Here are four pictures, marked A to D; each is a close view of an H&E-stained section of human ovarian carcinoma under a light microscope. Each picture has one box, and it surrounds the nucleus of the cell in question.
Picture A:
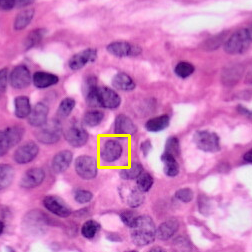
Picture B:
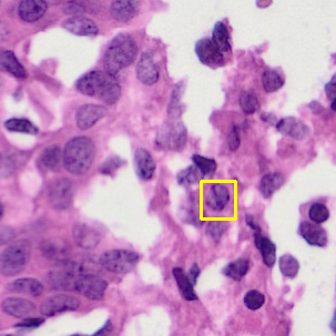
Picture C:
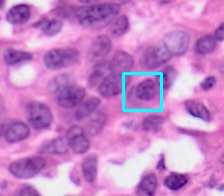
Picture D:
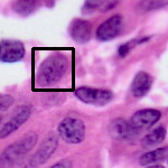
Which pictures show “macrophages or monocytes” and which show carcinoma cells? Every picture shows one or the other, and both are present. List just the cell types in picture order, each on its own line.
macrophage or monocyte
macrophage or monocyte
carcinoma cell
carcinoma cell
